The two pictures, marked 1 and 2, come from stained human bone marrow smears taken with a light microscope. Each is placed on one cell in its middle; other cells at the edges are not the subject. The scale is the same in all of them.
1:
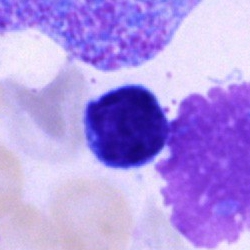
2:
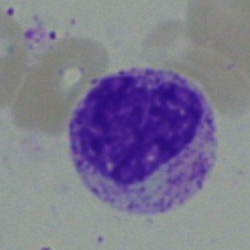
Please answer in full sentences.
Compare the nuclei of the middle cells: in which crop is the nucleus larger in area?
It is the nucleus in picture 2, about 2 times as large in area as the one in picture 1.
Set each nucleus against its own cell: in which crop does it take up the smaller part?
The nucleus fills less of the cell in picture 2 than in picture 1.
